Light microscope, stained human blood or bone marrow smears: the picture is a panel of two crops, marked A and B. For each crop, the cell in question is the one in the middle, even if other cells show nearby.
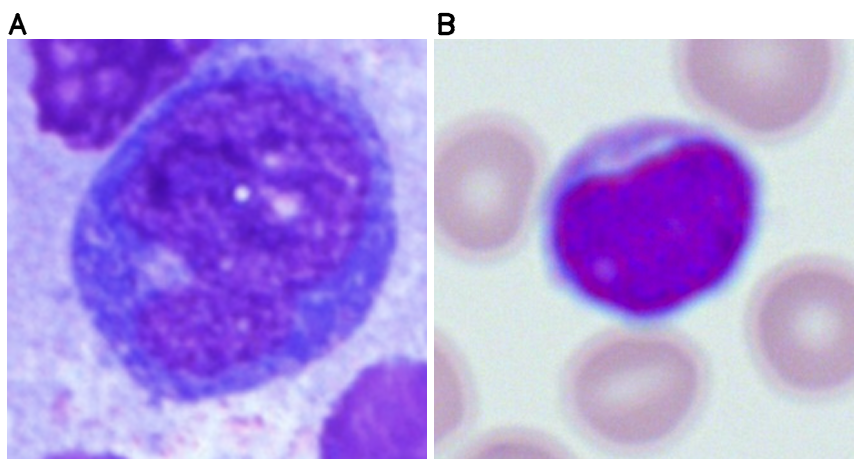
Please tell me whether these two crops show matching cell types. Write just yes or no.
no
